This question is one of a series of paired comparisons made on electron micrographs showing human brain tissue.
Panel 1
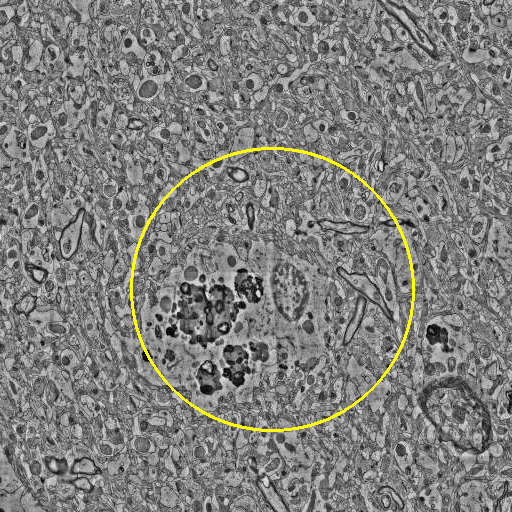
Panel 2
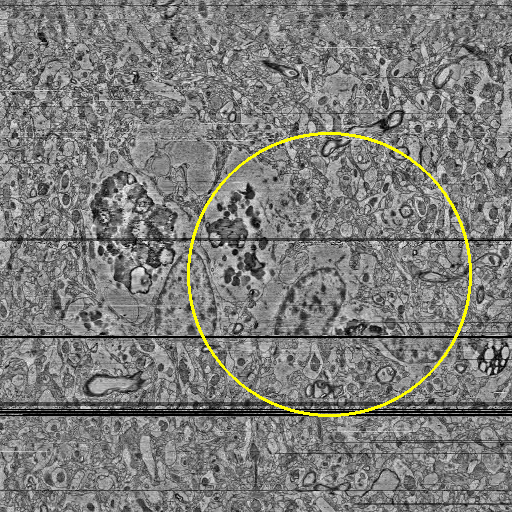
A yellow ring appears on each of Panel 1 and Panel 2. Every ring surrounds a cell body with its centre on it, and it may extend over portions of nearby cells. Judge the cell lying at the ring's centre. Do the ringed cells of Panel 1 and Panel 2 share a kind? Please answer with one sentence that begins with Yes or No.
Yes, the ring-centre cell in Panel 1 and the one in Panel 2 are of one kind.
